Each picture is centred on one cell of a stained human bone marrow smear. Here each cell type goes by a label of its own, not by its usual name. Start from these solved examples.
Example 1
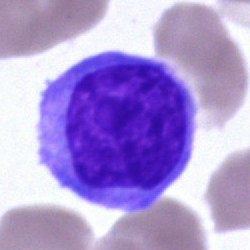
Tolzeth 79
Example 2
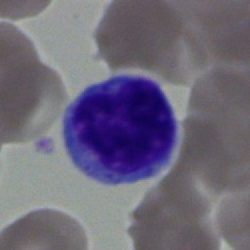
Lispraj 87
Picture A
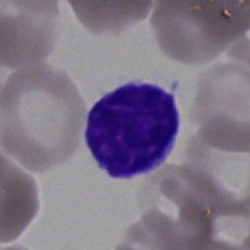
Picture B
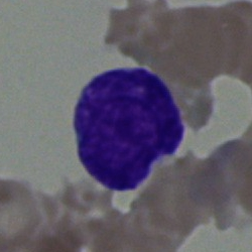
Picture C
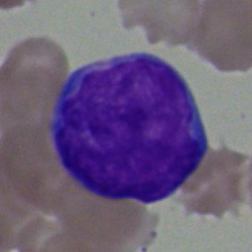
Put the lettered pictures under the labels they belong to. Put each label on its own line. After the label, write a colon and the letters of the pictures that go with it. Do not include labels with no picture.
Tolzeth 79: B, C
Lispraj 87: A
